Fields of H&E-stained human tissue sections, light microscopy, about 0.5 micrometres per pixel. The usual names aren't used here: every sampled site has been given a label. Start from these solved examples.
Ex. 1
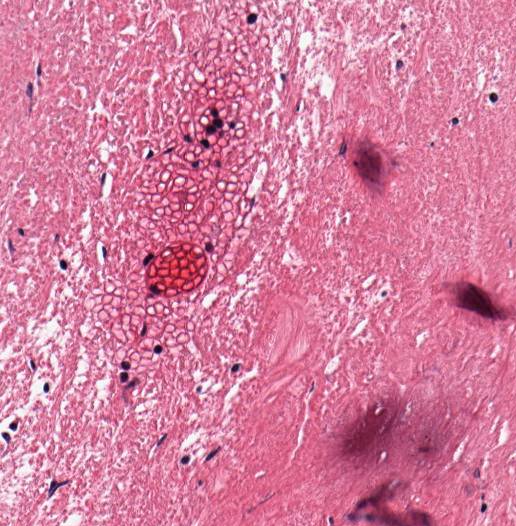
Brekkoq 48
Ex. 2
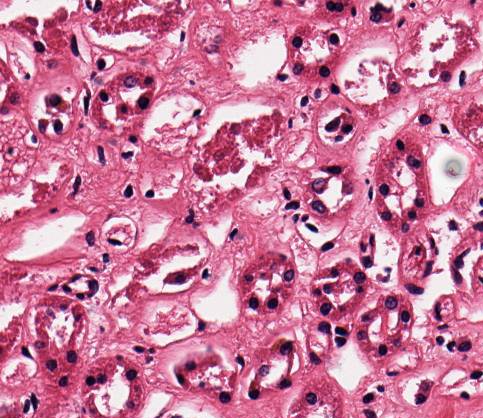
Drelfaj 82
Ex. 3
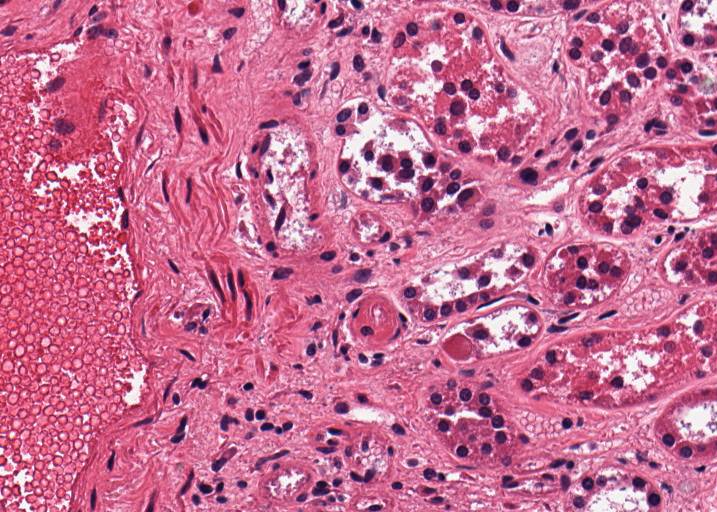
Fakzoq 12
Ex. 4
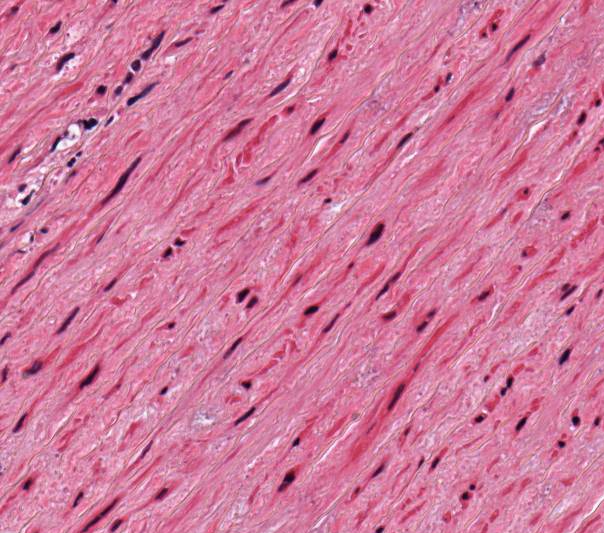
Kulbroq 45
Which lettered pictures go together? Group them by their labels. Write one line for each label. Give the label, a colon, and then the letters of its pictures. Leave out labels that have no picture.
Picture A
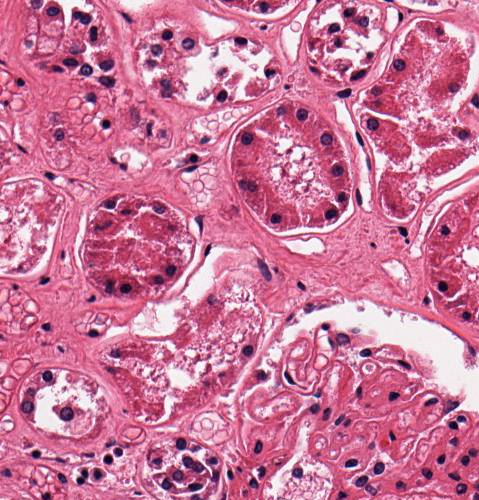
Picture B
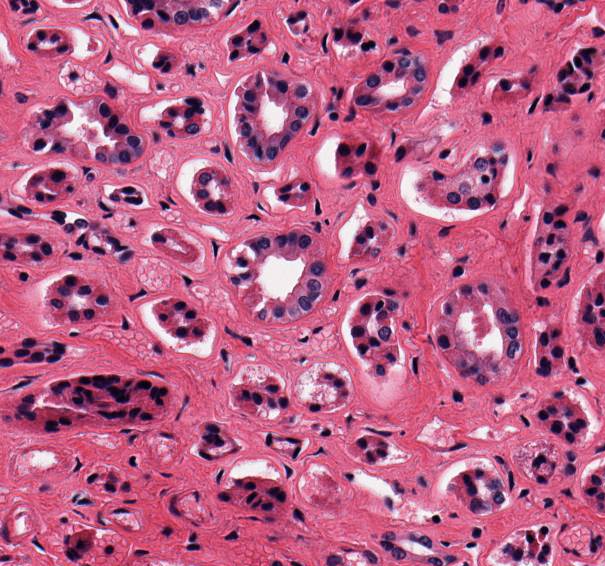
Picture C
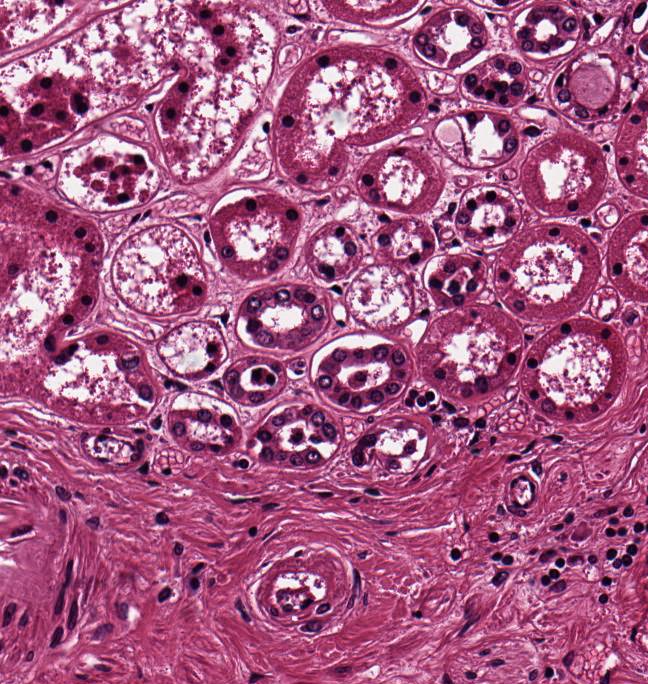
Drelfaj 82: B, C
Fakzoq 12: A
